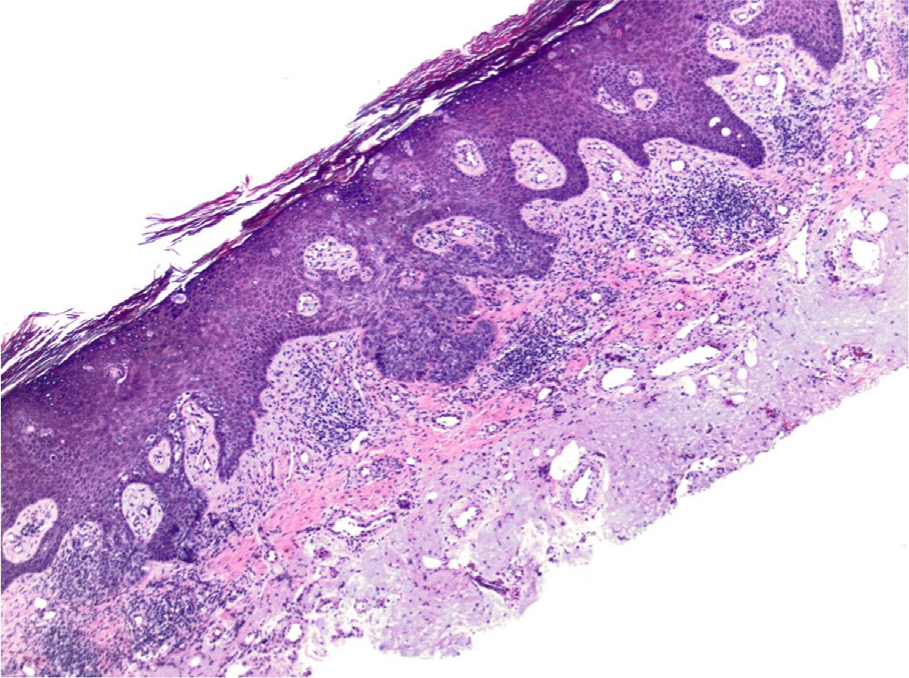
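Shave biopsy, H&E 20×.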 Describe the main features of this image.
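Skin with a hyperplastic epidermis that is markedly thickened, with elongated, irregular rete ridges reaching down into the dermis and a compact layer of cornified material on the surface. Scattered cells with pale cytoplasm lie among the darker keratinocytes. The underlying dermis holds patchy dense infiltrates of small dark inflammatory cells and numerous small vessels, and grows paler and looser toward the base of the specimen.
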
